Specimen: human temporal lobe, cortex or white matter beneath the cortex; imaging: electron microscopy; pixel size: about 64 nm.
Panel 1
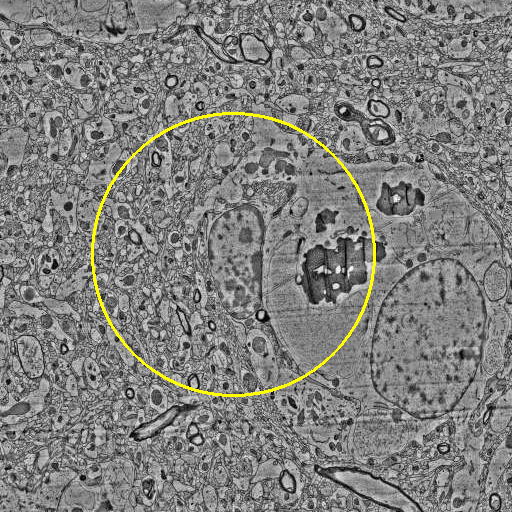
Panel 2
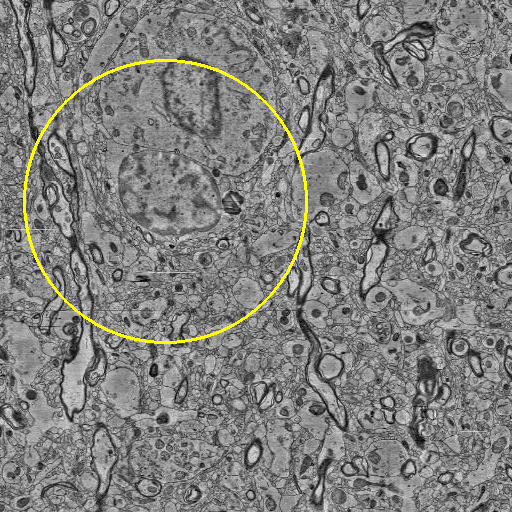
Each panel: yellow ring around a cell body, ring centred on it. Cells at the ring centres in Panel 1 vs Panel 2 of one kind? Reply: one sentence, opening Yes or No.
No, Panel 1 and Panel 2 have cells of two kinds at the ring centres.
